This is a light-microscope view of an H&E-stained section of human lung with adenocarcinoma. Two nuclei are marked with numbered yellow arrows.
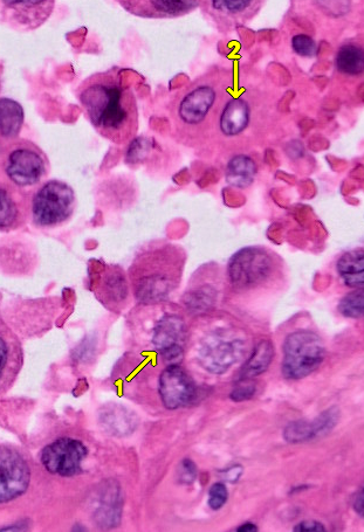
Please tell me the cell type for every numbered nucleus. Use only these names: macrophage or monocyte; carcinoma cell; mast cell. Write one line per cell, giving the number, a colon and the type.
1: carcinoma cell
2: macrophage or monocyte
